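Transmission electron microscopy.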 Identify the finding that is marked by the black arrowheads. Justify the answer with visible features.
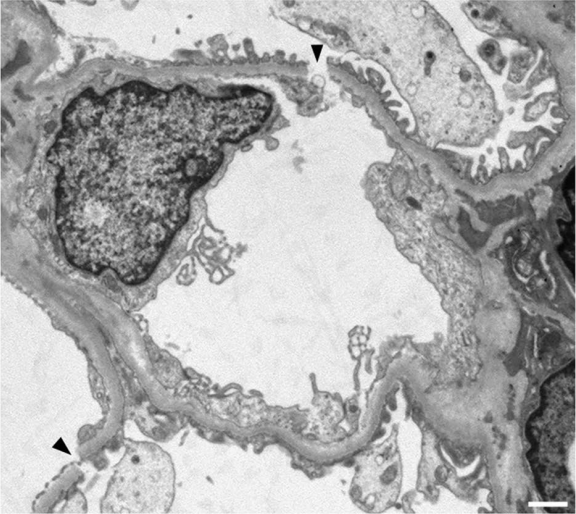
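A thick grey membrane lines the capillary loop. At the arrowheads the membrane is interrupted.
Glomerular basement membrane disruption.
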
